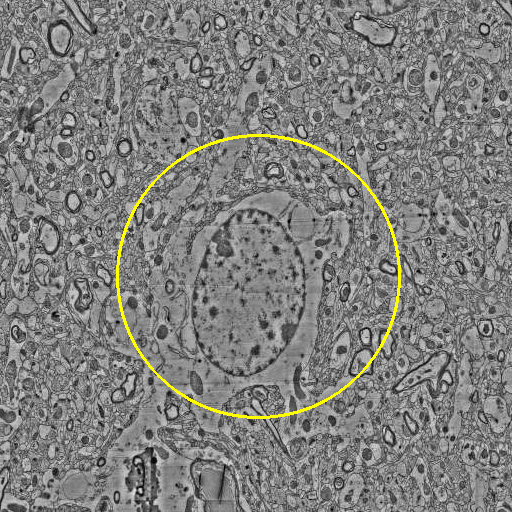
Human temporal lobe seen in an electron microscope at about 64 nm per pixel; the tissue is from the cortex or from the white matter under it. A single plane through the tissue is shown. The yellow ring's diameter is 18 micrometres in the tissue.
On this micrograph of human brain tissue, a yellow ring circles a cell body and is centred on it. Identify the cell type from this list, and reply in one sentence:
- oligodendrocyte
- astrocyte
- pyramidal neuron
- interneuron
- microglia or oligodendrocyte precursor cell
The cell at the centre is an astrocyte.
